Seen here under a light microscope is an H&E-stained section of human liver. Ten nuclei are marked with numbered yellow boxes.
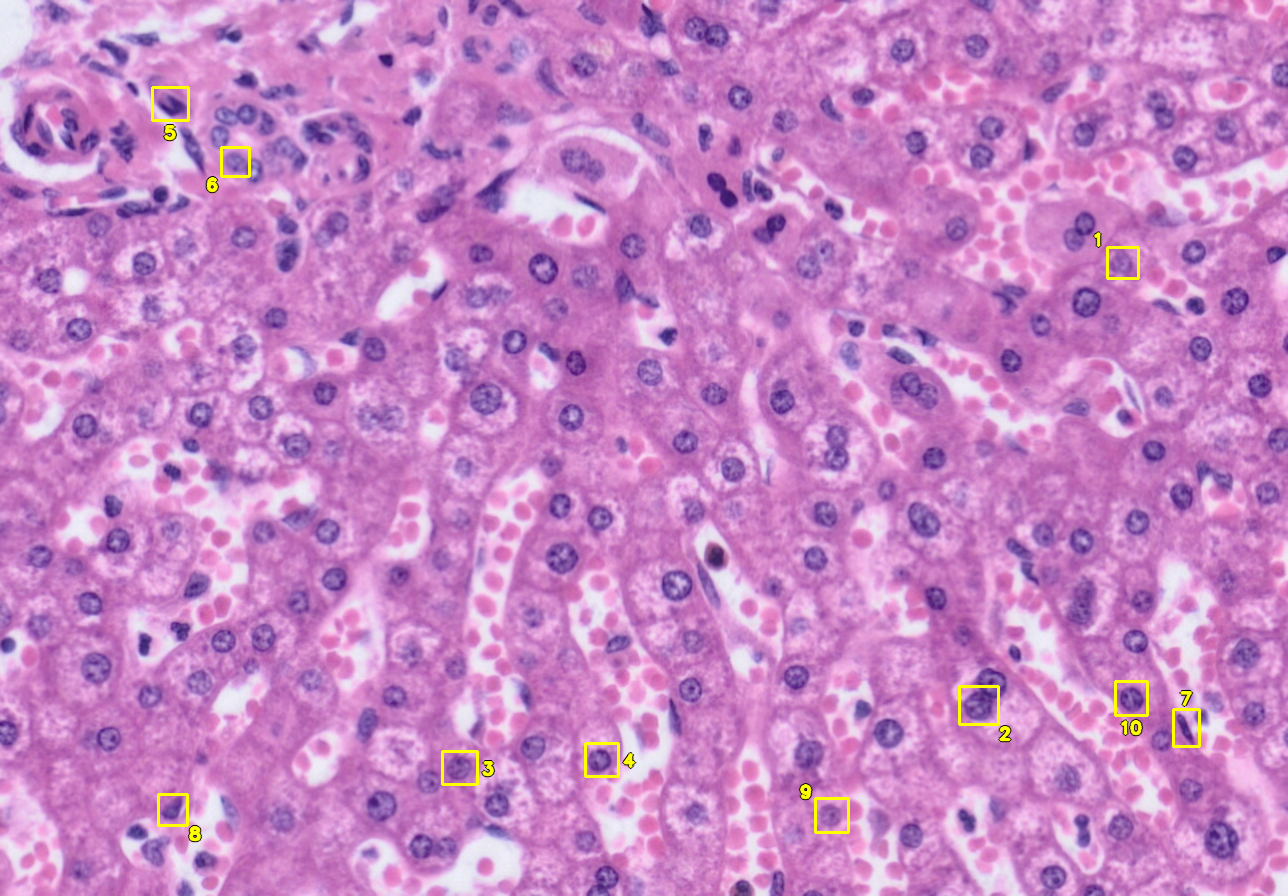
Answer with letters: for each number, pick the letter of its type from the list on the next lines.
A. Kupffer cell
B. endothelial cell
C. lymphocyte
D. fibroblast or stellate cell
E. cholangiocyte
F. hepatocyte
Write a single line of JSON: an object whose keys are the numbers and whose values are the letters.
{"1": "F", "2": "F", "3": "F", "4": "F", "5": "D", "6": "E", "7": "D", "8": "D", "9": "F", "10": "F"}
